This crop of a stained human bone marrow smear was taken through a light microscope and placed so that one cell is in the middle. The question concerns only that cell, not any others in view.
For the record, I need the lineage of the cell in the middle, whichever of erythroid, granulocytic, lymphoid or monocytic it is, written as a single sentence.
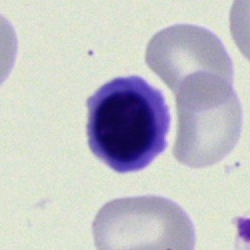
The cell in the middle is allocated to the erythroid lineage.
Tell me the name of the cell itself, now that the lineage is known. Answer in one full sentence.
In the centre of this crop there is an erythroblast.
